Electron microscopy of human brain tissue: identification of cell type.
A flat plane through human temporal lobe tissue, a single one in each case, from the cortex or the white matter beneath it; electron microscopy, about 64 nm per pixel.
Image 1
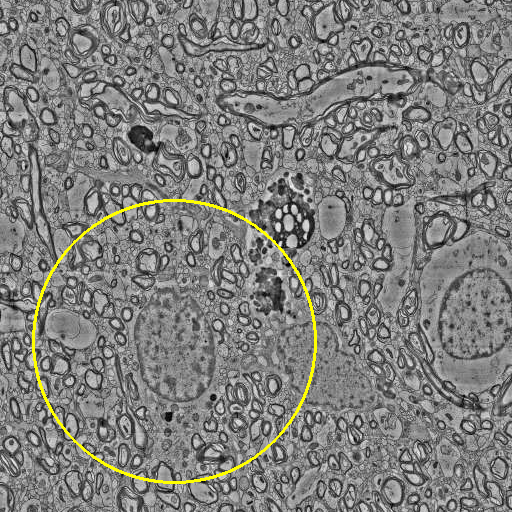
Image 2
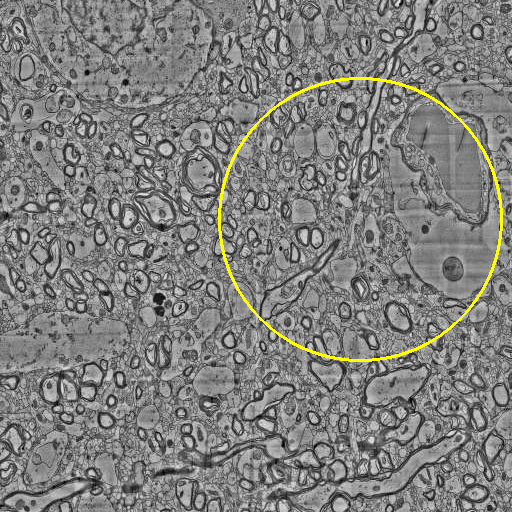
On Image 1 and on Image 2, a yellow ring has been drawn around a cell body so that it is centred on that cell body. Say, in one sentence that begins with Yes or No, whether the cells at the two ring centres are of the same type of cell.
Yes, both cells are the same type of cell.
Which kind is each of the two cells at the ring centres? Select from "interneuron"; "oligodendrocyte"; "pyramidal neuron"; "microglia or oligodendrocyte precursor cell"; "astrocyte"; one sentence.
The second cell is an oligodendrocyte, just as the first is.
